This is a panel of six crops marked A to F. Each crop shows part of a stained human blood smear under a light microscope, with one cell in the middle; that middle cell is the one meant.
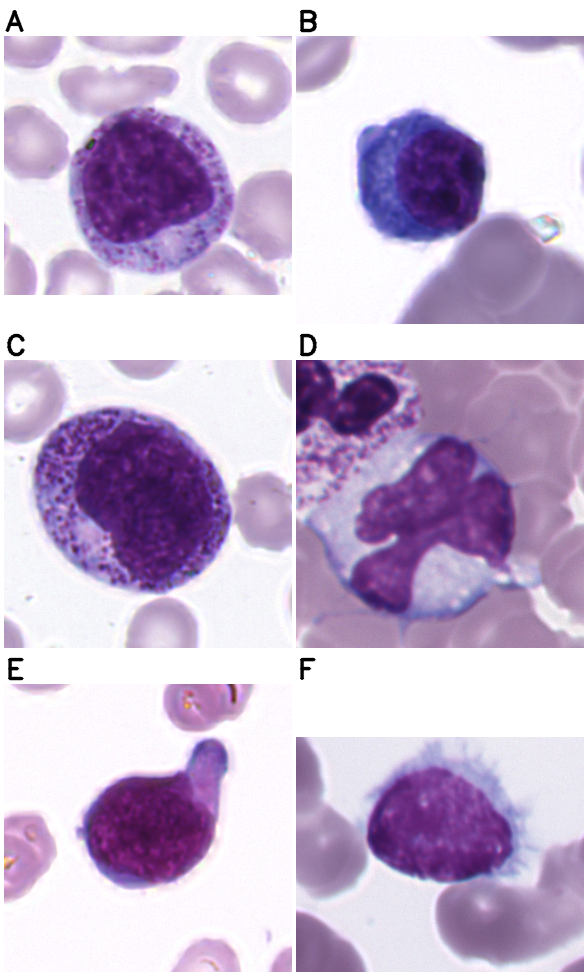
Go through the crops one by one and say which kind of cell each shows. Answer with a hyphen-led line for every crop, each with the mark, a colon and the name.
- A: myelocyte
- B: plasma cell
- C: promyelocyte
- D: monocyte
- E: atypical promyelocyte
- F: hairy cell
